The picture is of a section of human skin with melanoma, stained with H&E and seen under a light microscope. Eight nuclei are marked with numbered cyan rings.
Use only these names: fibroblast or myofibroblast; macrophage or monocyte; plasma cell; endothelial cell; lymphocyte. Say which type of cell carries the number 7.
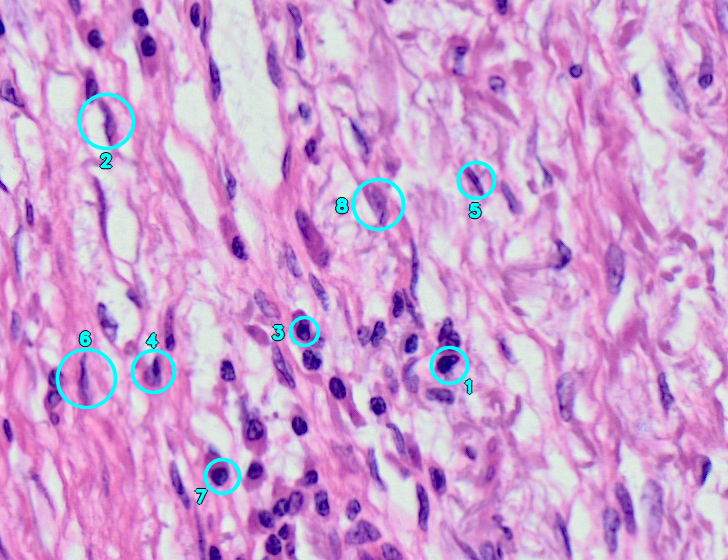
plasma cell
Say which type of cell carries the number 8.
fibroblast or myofibroblast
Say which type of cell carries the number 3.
plasma cell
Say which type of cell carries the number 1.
plasma cell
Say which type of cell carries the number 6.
fibroblast or myofibroblast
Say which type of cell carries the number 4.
macrophage or monocyte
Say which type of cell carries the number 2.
fibroblast or myofibroblast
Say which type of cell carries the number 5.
fibroblast or myofibroblast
